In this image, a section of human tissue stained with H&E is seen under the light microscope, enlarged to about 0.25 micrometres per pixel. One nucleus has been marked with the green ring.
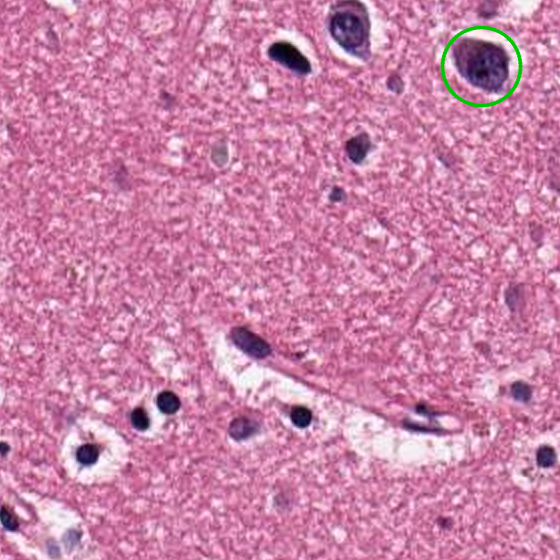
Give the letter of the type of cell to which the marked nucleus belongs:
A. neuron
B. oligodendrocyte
A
